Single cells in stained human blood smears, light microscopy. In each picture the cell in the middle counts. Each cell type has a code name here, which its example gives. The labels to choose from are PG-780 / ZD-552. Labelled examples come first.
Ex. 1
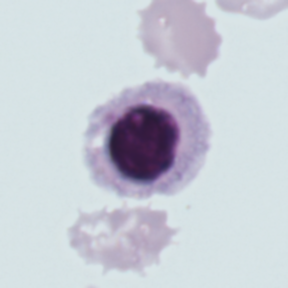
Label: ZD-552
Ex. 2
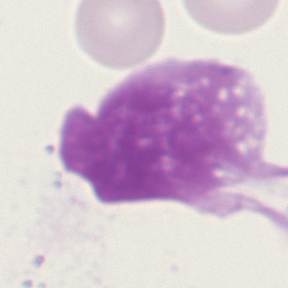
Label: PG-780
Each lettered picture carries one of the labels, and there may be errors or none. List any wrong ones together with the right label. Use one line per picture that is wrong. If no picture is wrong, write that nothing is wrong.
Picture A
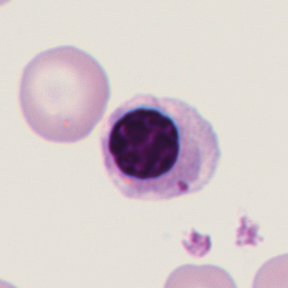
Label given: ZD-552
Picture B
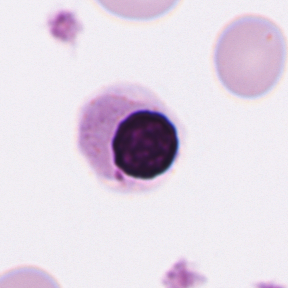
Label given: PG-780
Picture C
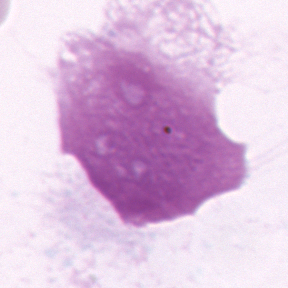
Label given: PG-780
B: ZD-552, not PG-780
